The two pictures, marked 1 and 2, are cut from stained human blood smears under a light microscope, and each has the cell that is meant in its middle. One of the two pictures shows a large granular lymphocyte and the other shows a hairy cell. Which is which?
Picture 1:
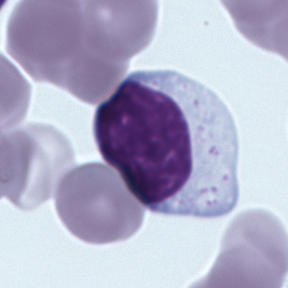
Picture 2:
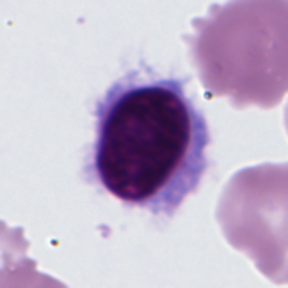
1: large granular lymphocyte
2: hairy cell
